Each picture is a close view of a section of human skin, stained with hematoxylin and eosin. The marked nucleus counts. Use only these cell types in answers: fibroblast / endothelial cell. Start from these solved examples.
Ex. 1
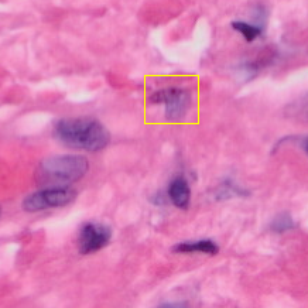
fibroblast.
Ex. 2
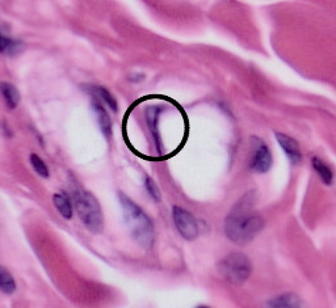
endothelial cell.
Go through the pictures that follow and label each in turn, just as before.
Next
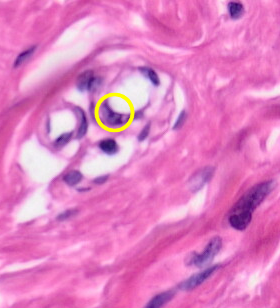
endothelial cell.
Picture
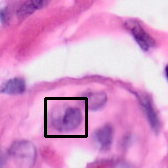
endothelial cell.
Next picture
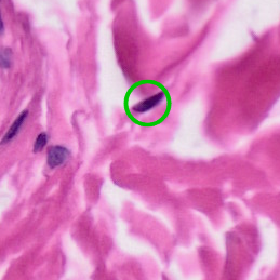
fibroblast.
